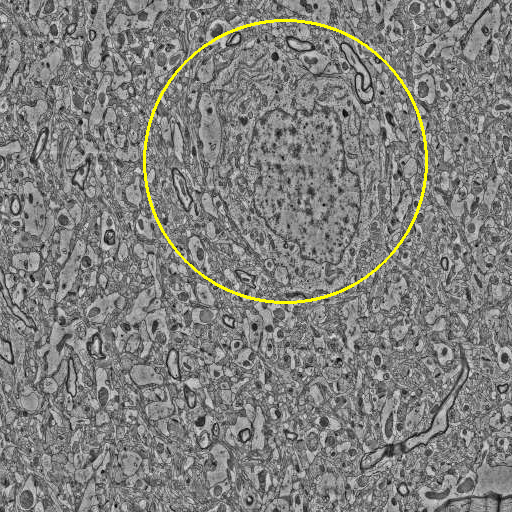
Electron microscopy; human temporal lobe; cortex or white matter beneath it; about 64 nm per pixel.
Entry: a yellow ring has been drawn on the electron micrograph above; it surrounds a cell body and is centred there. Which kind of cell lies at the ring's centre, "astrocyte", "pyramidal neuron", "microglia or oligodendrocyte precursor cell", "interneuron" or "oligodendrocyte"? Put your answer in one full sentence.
The cell sitting at the ring's centre is an interneuron in the micrograph above.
